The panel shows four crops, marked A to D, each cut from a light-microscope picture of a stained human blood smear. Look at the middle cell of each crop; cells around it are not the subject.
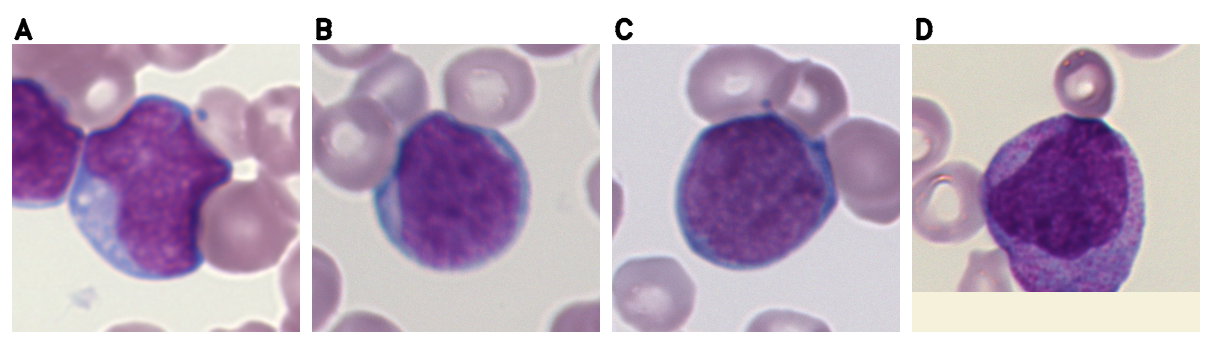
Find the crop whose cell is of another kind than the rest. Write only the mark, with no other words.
D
